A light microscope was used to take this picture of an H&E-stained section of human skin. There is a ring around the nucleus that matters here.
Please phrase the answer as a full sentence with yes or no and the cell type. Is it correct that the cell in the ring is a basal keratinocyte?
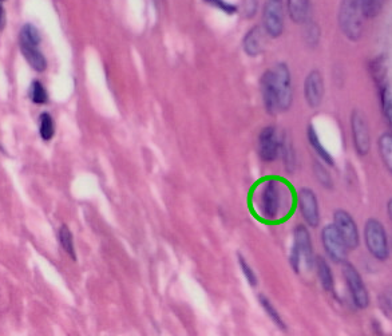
Yes, that the cell in the ring is a basal keratinocyte is correct.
